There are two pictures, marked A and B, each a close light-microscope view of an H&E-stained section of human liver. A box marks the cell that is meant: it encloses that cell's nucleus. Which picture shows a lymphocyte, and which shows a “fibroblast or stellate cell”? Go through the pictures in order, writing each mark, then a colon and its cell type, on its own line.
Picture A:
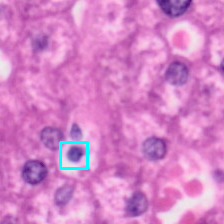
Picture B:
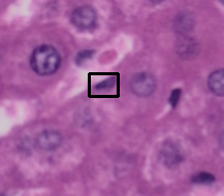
A: lymphocyte
B: fibroblast or stellate cell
